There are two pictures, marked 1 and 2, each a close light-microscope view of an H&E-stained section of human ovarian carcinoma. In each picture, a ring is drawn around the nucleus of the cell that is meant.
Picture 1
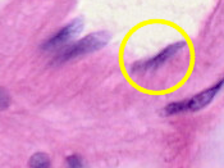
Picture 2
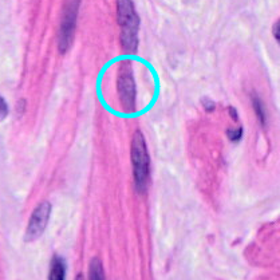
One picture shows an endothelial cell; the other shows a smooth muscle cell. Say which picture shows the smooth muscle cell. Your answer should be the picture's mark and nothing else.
2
